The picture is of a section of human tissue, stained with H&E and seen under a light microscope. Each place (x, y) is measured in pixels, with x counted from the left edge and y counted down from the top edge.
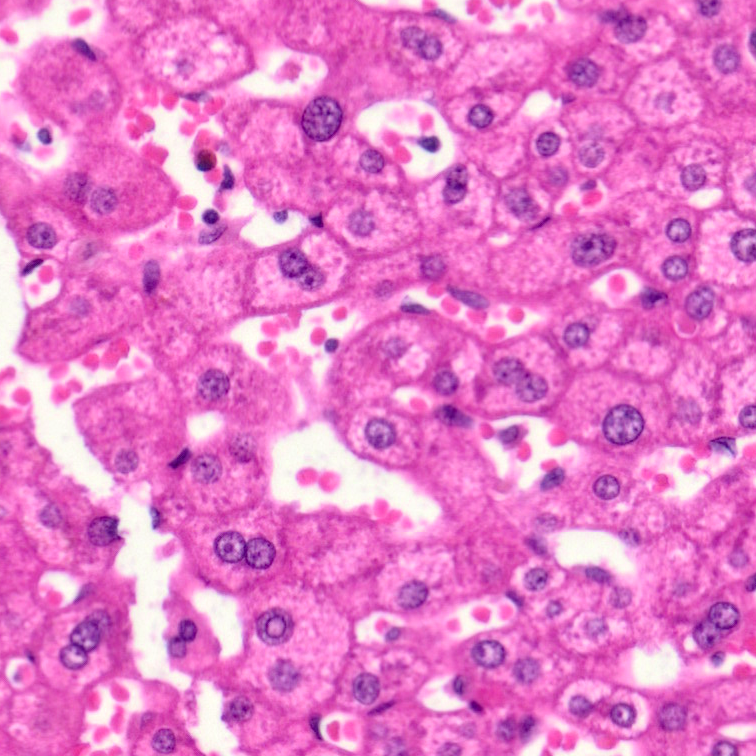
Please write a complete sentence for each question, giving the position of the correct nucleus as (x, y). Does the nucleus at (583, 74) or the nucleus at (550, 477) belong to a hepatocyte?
Of these two nuclei, it is the one at (583, 74) that belongs to a hepatocyte.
